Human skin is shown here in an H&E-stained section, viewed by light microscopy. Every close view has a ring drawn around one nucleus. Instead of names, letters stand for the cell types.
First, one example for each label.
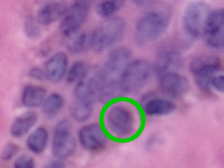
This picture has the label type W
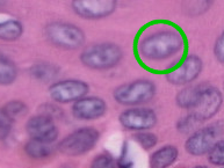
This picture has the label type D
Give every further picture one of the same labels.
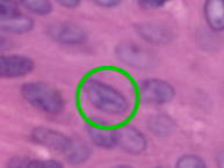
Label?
type D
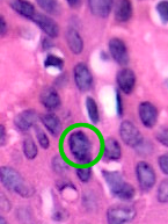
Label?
type W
